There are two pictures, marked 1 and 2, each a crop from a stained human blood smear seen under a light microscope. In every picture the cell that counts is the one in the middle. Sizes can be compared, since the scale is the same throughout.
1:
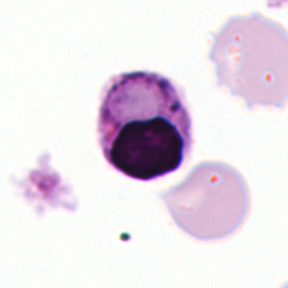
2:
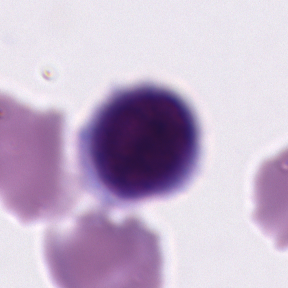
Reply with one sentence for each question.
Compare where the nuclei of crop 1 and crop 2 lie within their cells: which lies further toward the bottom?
The nucleus in crop 1 lies further toward the bottom of its cell.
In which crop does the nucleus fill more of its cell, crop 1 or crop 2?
In crop 2 the nucleus takes up the larger part of its cell.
